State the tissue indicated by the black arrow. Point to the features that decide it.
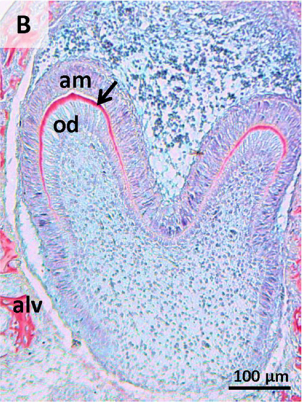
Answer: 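Dentin. The arrow points to a thin bright red band at the cusp tip. The red band lies between the outer columnar epithelial layer and the inner cell layer facing the pulp. The band follows the contour of both cusps.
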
